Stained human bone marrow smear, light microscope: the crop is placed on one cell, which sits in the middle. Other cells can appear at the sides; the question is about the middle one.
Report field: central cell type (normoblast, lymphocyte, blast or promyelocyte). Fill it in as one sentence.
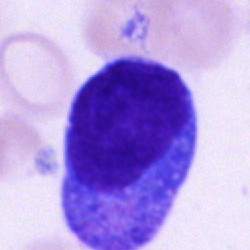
The cell of interest, located centrally, is a promyelocyte.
